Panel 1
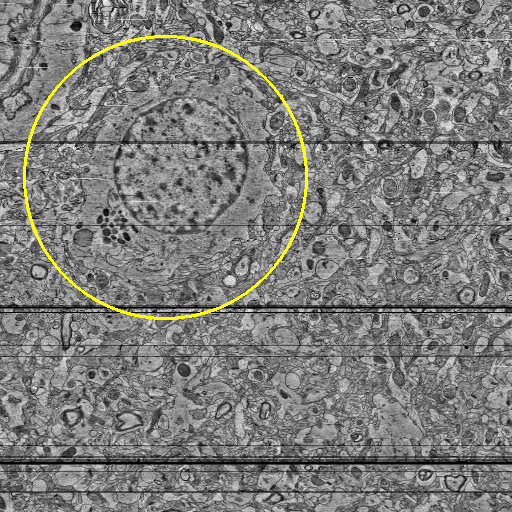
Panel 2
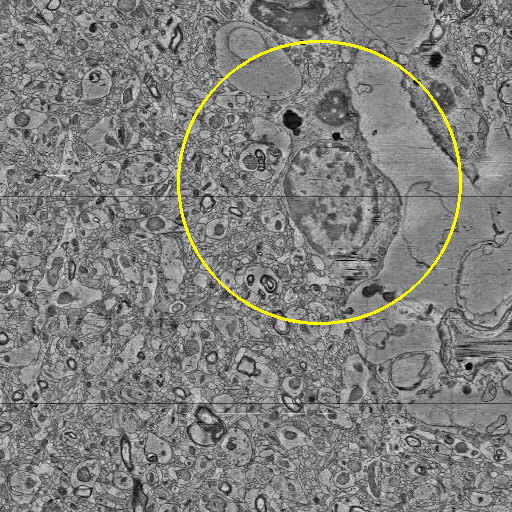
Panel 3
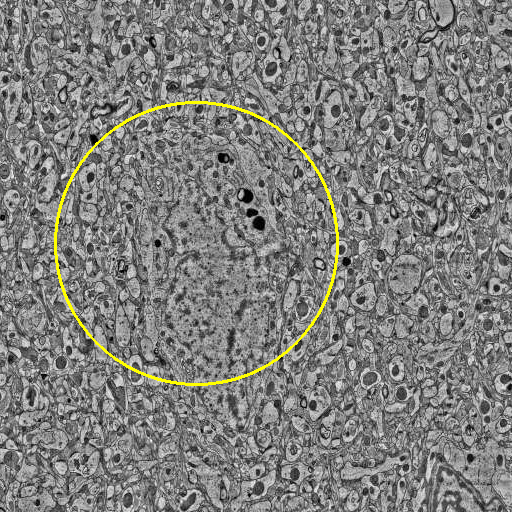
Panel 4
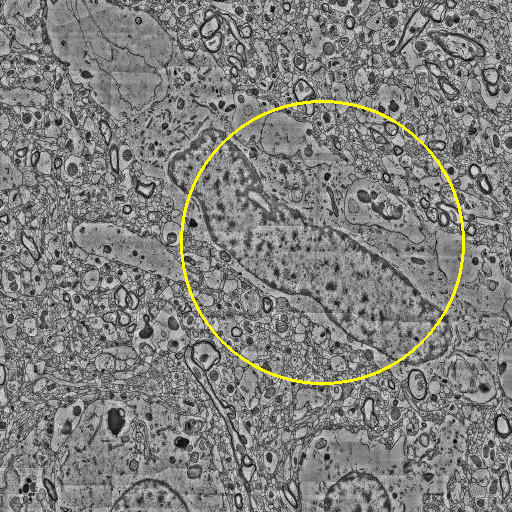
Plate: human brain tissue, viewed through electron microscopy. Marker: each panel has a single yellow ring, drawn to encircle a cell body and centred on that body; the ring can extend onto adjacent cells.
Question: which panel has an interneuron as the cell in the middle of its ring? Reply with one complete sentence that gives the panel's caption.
Panel 3 is where the requested cell sits at the centre of the ring.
